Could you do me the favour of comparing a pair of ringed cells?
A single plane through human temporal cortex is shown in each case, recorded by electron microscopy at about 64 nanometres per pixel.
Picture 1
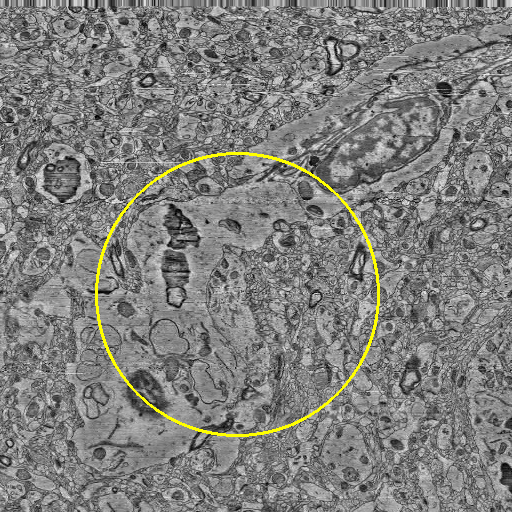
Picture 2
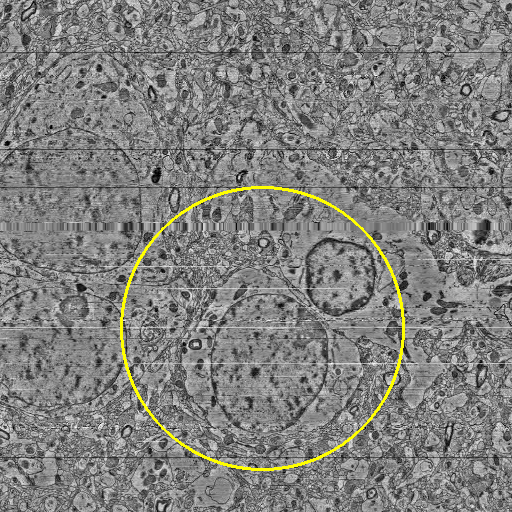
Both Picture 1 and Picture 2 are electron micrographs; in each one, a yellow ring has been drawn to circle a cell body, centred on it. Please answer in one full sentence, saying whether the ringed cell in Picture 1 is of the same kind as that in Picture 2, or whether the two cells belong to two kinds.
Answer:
The ringed cells in Picture 1 and Picture 2 belong to two kinds.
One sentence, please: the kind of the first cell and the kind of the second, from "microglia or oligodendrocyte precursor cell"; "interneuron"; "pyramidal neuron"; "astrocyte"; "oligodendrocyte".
The ring in the first picture surrounds a microglial cell or oligodendrocyte precursor cell, and the ring in the second surrounds an astrocyte.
